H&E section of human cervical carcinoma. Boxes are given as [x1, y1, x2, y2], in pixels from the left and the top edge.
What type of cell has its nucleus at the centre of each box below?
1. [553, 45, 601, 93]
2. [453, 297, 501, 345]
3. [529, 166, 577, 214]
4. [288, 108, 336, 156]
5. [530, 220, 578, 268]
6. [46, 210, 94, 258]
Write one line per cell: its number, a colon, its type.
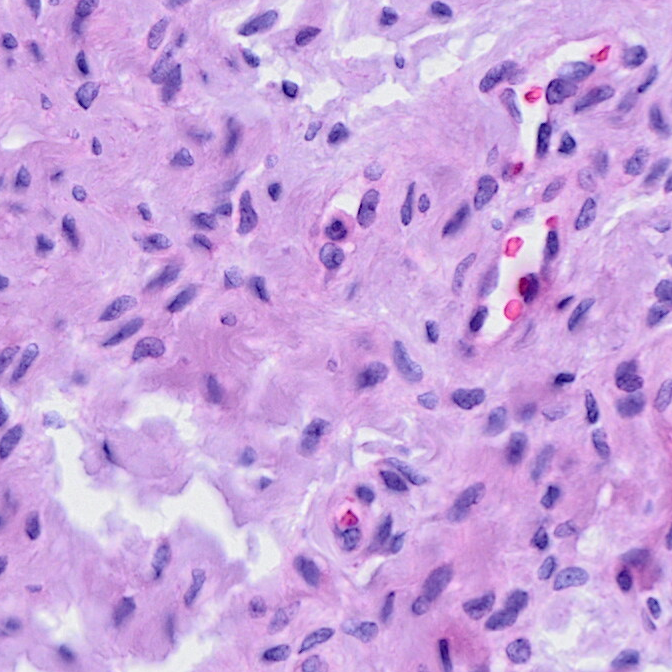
1: endothelial cell
2: endothelial cell
3: endothelial cell
4: fibroblast
5: endothelial cell
6: fibroblast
